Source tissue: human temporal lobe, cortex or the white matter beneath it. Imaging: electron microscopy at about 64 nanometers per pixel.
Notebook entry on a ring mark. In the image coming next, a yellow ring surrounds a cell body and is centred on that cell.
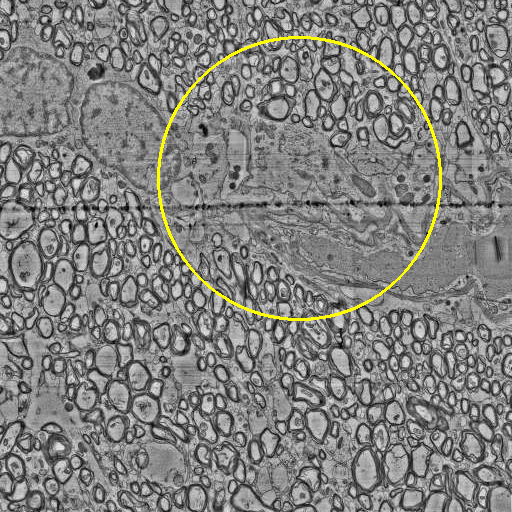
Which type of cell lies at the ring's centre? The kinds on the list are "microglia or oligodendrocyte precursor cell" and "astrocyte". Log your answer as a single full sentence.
Centred in the yellow ring is a microglial cell or oligodendrocyte precursor cell, the cell recorded for this image.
